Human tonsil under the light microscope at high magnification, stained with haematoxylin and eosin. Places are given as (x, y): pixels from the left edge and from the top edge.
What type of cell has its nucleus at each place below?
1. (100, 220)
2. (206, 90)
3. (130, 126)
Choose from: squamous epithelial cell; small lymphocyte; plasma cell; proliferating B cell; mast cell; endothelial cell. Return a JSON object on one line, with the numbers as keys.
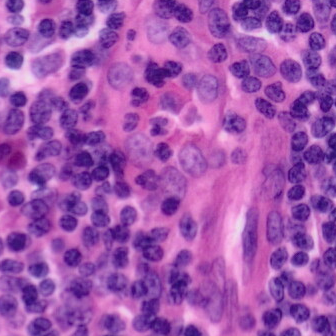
{"1": "small lymphocyte", "2": "endothelial cell", "3": "endothelial cell"}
